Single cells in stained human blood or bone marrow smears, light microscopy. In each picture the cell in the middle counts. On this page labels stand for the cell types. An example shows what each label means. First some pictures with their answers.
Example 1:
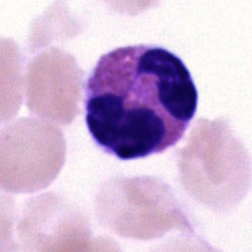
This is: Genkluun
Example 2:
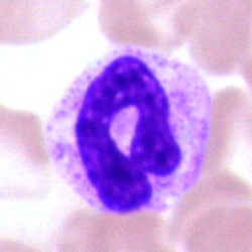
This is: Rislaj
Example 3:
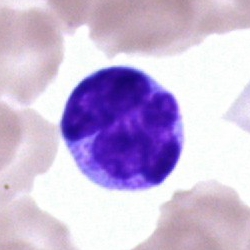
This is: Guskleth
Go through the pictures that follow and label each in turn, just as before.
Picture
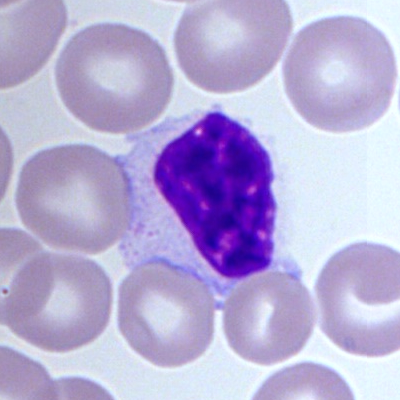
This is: Guskleth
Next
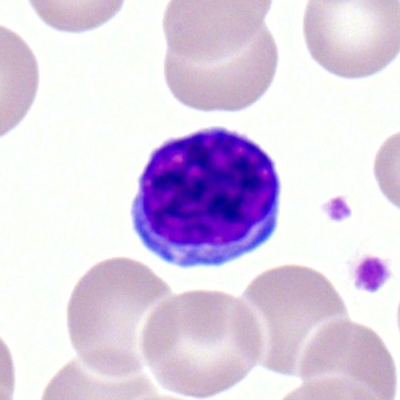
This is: Guskleth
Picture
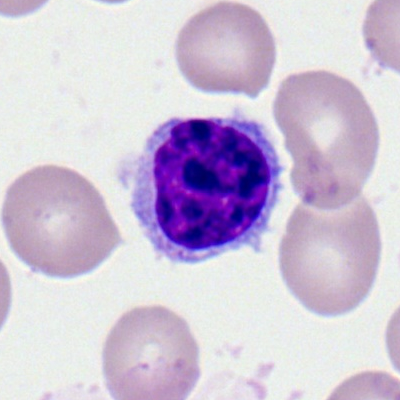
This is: Guskleth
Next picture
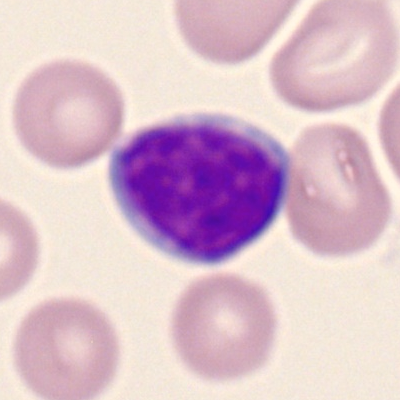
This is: Guskleth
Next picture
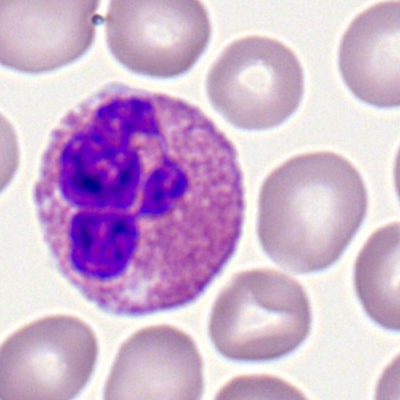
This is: Genkluun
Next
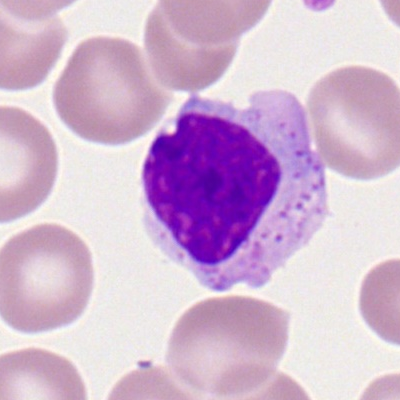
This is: Guskleth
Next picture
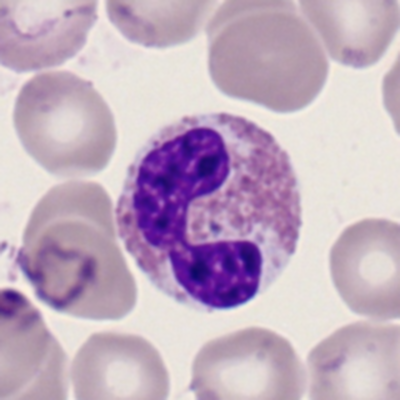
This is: Genkluun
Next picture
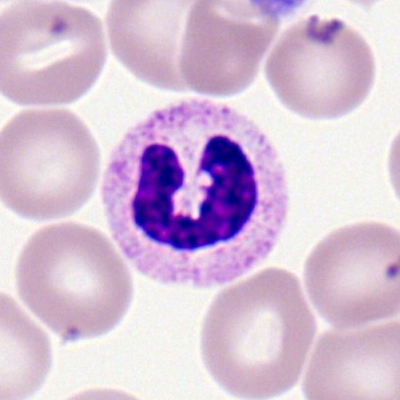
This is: Rislaj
